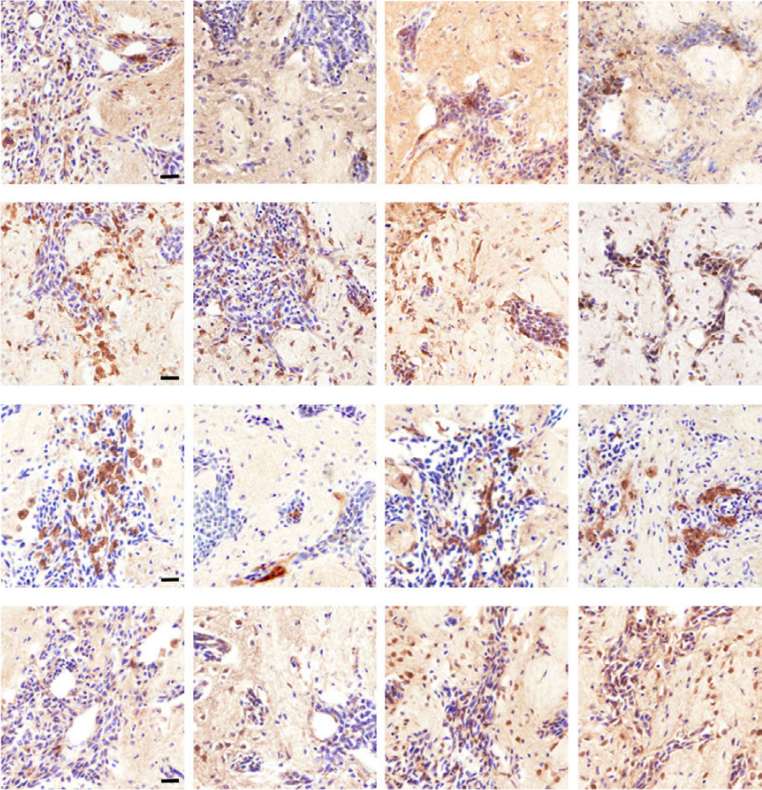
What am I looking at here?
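Dense clusters of small cells with packed, oval to elongated nuclei lie in a paler, finely fibrous background. Brown-stained cells lie singly or in groups among and at the edges of these clusters, some with rounded cell bodies and others spindle-shaped. Small vessel lumens appear as clear spaces, with cells gathered around some of them.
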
